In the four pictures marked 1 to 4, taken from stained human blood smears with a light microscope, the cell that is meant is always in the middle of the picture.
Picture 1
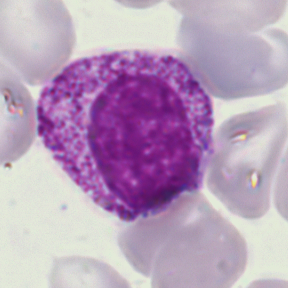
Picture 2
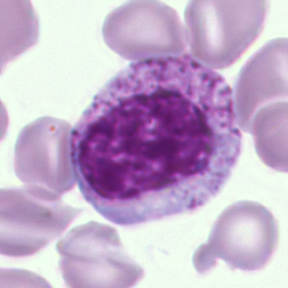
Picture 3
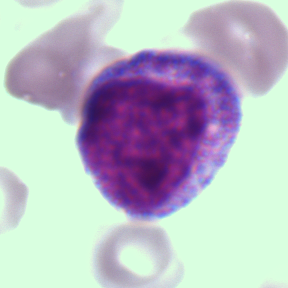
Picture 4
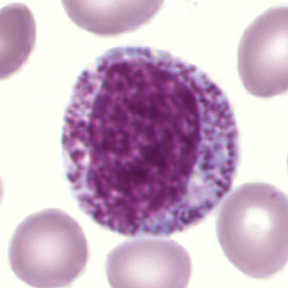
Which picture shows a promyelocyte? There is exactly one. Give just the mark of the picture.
3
